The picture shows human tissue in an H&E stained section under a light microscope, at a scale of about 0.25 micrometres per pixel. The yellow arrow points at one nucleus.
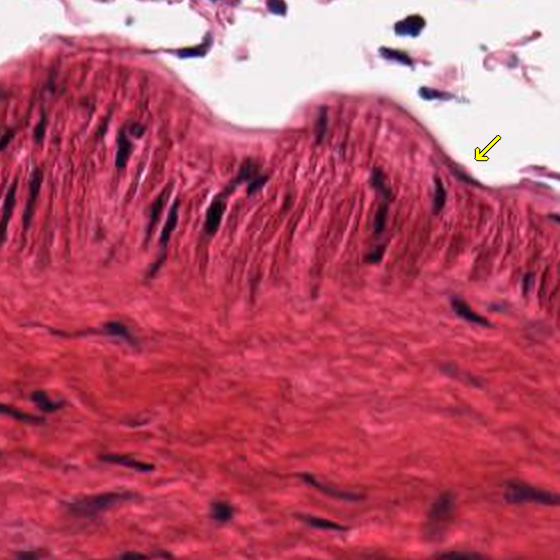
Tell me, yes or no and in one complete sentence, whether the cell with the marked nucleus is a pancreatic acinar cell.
No, the nucleus that is marked belongs to a supporting cell rather than to a pancreatic acinar cell.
